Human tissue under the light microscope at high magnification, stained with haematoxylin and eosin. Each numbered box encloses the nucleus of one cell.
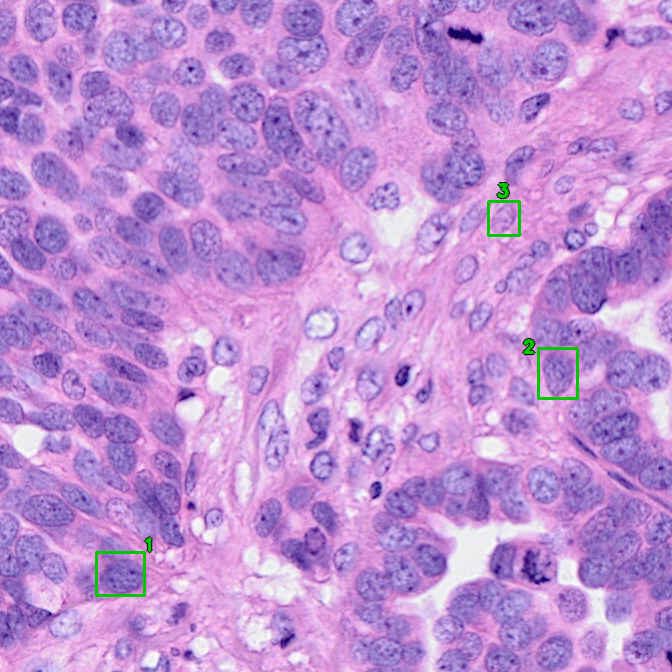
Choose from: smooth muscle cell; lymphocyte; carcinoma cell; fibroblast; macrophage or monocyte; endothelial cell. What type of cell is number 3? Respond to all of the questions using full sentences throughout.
The one numbered 3 among the marked cells is a fibroblast.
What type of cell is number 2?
Here the cell numbered 2 is a carcinoma cell.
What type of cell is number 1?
Corresponding to a carcinoma cell is the cell labelled 1.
